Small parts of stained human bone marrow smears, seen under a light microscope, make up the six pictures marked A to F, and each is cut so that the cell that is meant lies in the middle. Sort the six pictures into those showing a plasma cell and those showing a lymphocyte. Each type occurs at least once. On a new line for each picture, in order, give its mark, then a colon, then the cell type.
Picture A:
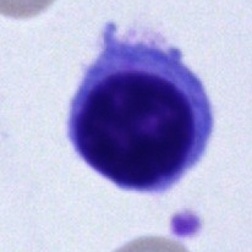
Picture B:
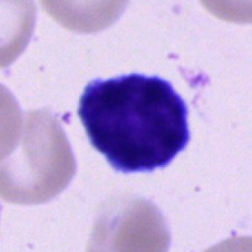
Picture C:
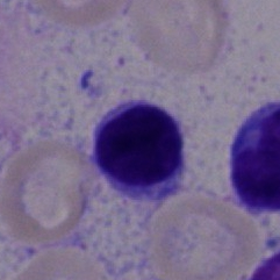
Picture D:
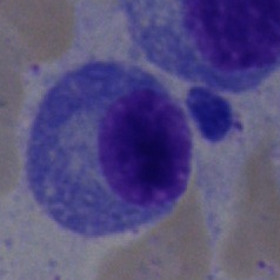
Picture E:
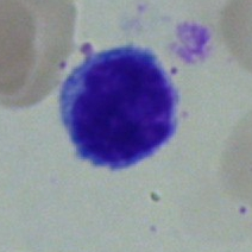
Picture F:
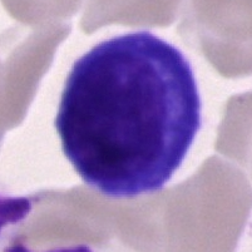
A: lymphocyte
B: lymphocyte
C: lymphocyte
D: plasma cell
E: lymphocyte
F: plasma cell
